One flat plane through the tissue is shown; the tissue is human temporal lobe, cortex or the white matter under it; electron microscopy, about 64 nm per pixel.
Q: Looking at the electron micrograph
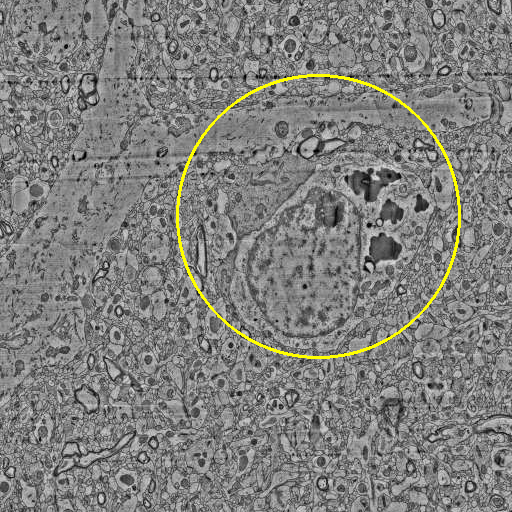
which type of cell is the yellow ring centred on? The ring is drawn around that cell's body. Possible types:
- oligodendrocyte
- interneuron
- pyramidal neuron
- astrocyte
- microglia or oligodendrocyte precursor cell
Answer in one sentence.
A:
The yellow ring is centred on an interneuron.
